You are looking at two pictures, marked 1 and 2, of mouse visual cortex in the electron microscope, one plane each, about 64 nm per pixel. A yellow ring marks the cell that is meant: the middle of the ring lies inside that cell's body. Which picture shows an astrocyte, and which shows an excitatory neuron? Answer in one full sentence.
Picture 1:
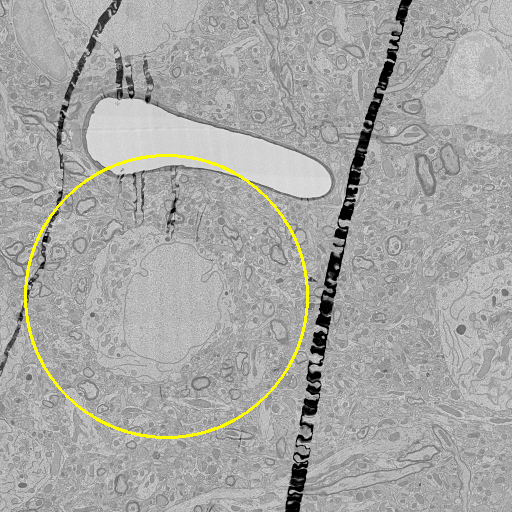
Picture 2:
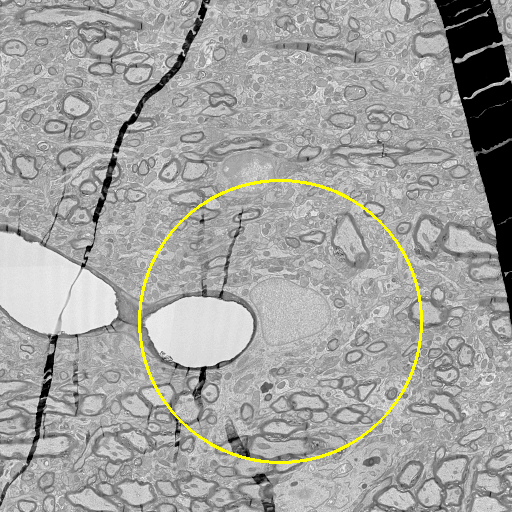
Picture 2 shows an astrocyte, while picture 1 shows an excitatory neuron.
